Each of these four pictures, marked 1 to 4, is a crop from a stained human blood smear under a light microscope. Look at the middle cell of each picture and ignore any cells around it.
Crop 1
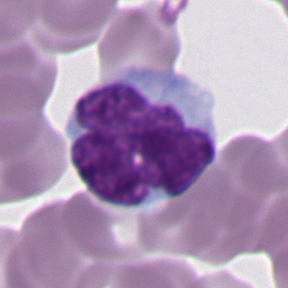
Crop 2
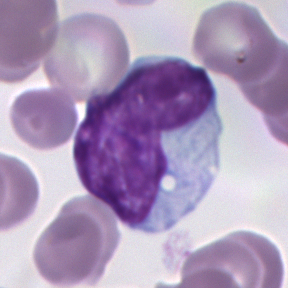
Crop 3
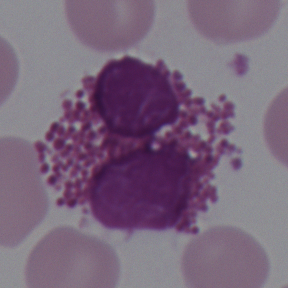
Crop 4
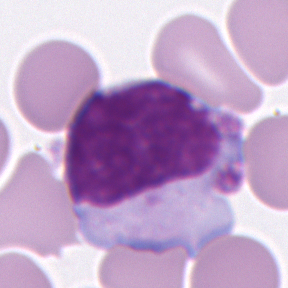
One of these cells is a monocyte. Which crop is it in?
1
